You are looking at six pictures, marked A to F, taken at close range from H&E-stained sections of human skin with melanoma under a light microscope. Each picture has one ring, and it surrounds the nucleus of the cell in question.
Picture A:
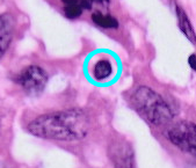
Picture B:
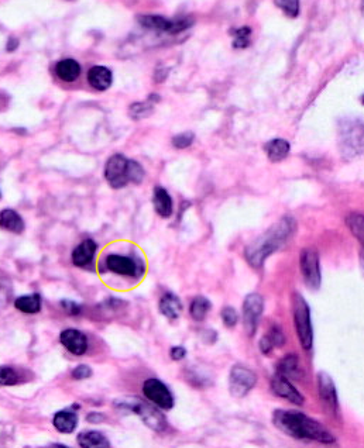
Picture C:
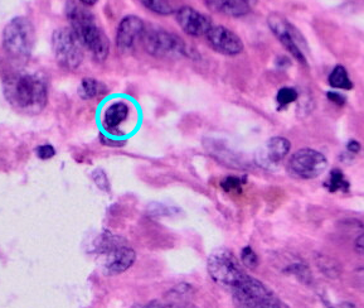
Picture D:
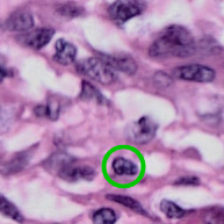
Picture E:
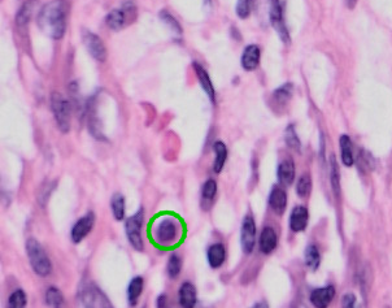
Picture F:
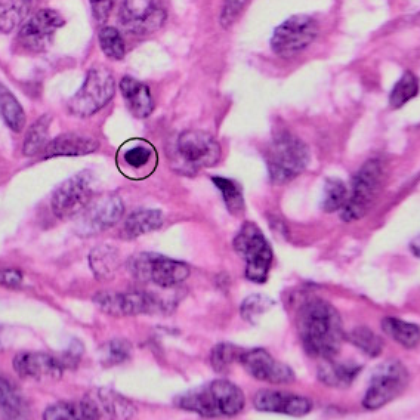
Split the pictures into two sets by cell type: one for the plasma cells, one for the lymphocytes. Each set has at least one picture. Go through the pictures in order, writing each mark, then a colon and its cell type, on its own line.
A: lymphocyte
B: plasma cell
C: lymphocyte
D: lymphocyte
E: plasma cell
F: lymphocyte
